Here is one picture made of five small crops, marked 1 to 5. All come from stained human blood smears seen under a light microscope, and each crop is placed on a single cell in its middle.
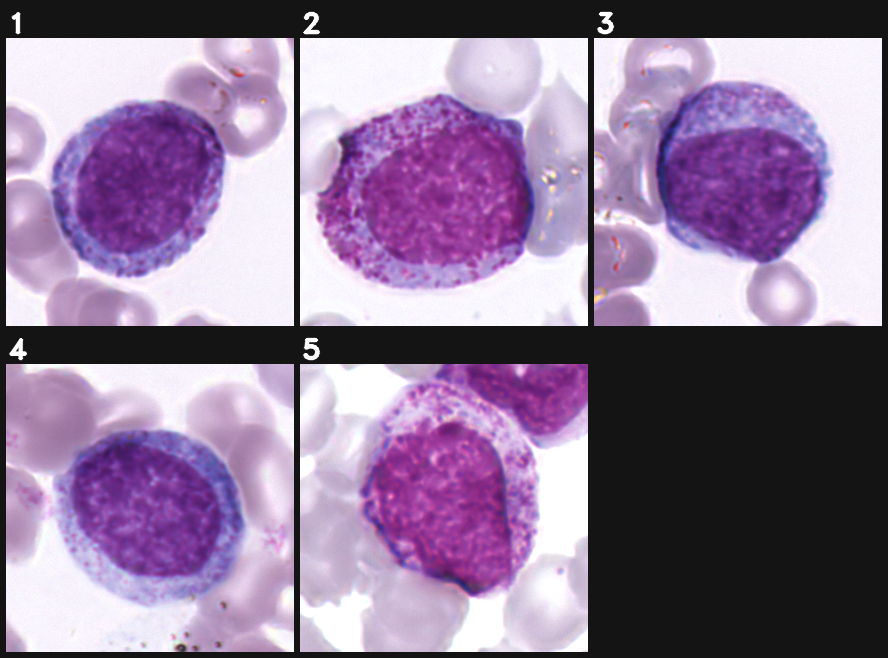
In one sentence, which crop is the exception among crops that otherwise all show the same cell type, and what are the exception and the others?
While crop 5 shows a myelocyte, the other crops all show promyelocytes.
